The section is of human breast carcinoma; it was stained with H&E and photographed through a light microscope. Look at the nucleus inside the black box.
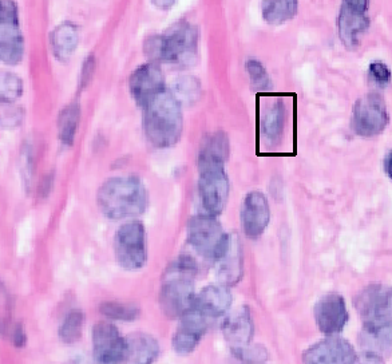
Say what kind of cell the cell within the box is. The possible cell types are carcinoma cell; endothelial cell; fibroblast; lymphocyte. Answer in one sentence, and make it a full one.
It is an endothelial cell that the cell within the box represents.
